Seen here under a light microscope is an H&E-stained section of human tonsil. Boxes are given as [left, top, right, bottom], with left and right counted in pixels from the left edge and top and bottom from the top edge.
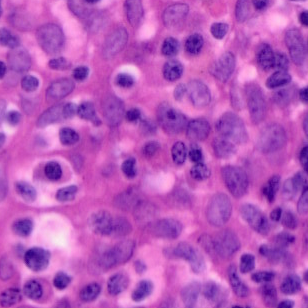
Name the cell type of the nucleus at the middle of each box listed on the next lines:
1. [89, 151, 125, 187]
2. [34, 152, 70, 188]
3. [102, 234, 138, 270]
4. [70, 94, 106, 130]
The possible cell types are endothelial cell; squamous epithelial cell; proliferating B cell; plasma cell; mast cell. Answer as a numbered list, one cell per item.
1. squamous epithelial cell
2. plasma cell
3. squamous epithelial cell
4. squamous epithelial cell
